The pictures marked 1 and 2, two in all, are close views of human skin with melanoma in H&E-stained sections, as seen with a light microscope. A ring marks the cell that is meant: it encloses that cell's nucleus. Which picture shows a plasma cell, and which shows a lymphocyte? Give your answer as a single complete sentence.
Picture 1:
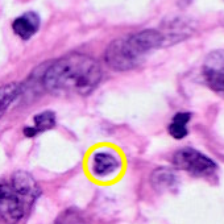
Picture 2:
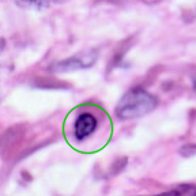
Picture 2 shows a plasma cell, while picture 1 shows a lymphocyte.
